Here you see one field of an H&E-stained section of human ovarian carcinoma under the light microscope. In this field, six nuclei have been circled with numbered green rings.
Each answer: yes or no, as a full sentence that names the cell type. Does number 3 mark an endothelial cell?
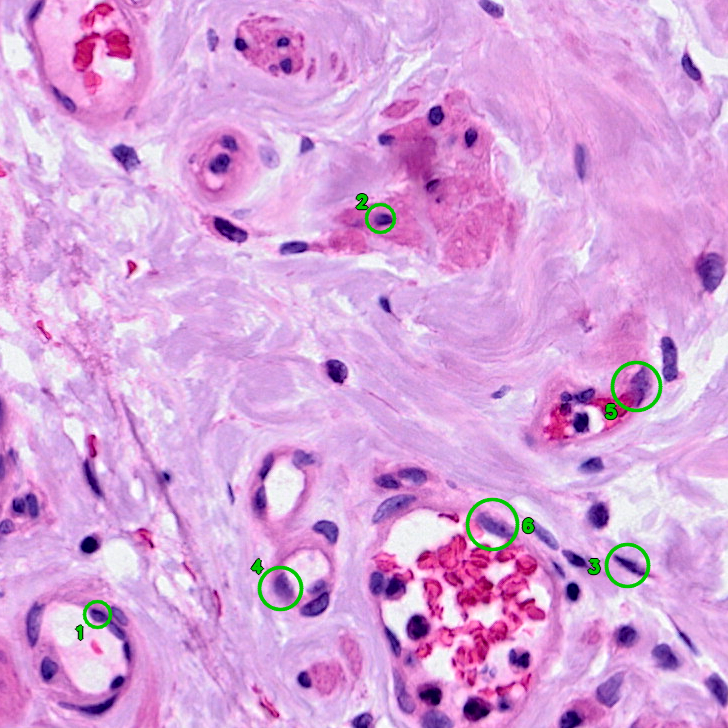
No, it is a fibroblast, not an endothelial cell, at number 3.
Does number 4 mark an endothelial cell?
Yes, cell number 4 is classified as an endothelial cell.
